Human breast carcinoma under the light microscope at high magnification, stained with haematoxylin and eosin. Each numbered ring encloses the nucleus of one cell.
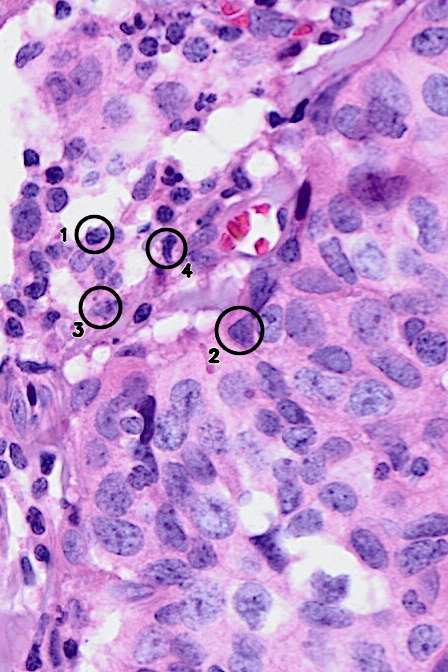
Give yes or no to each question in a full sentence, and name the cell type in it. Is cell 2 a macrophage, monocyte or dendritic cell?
No, as for cell 2, it is a carcinoma cell and not a macrophage, monocyte or dendritic cell.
